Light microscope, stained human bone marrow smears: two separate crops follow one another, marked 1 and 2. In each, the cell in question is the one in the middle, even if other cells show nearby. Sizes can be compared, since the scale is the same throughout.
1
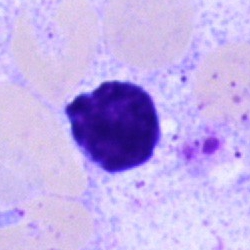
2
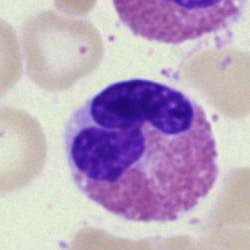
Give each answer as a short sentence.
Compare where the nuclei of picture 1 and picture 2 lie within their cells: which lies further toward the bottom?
Seen within its cell, the nucleus in picture 1 lies further toward the bottom.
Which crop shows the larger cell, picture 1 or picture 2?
Picture 2 holds the larger cell; it covers about 2.5 times the area of the cell in picture 1.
